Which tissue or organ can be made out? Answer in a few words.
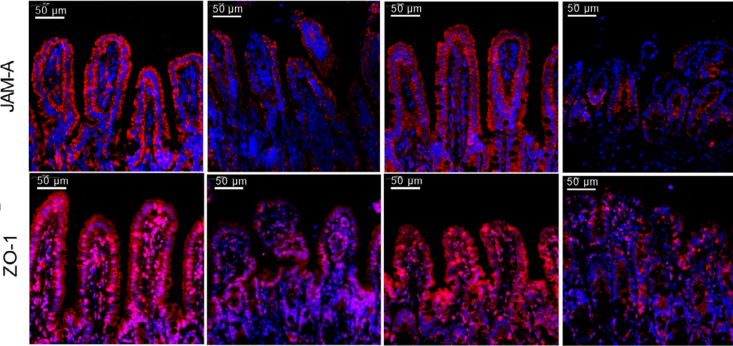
Gut tissues.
